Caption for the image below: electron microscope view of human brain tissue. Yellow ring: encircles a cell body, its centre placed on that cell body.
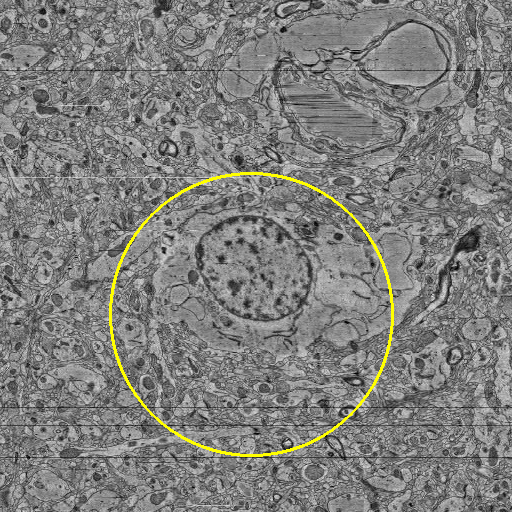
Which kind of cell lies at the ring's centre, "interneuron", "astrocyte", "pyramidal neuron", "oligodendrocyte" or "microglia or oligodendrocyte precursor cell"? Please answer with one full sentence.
The picture shows an astrocyte at the centre of the yellow ring.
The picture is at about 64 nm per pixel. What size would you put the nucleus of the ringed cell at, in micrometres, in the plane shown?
About 8 by 7 micrometers for the nucleus, in this plane.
